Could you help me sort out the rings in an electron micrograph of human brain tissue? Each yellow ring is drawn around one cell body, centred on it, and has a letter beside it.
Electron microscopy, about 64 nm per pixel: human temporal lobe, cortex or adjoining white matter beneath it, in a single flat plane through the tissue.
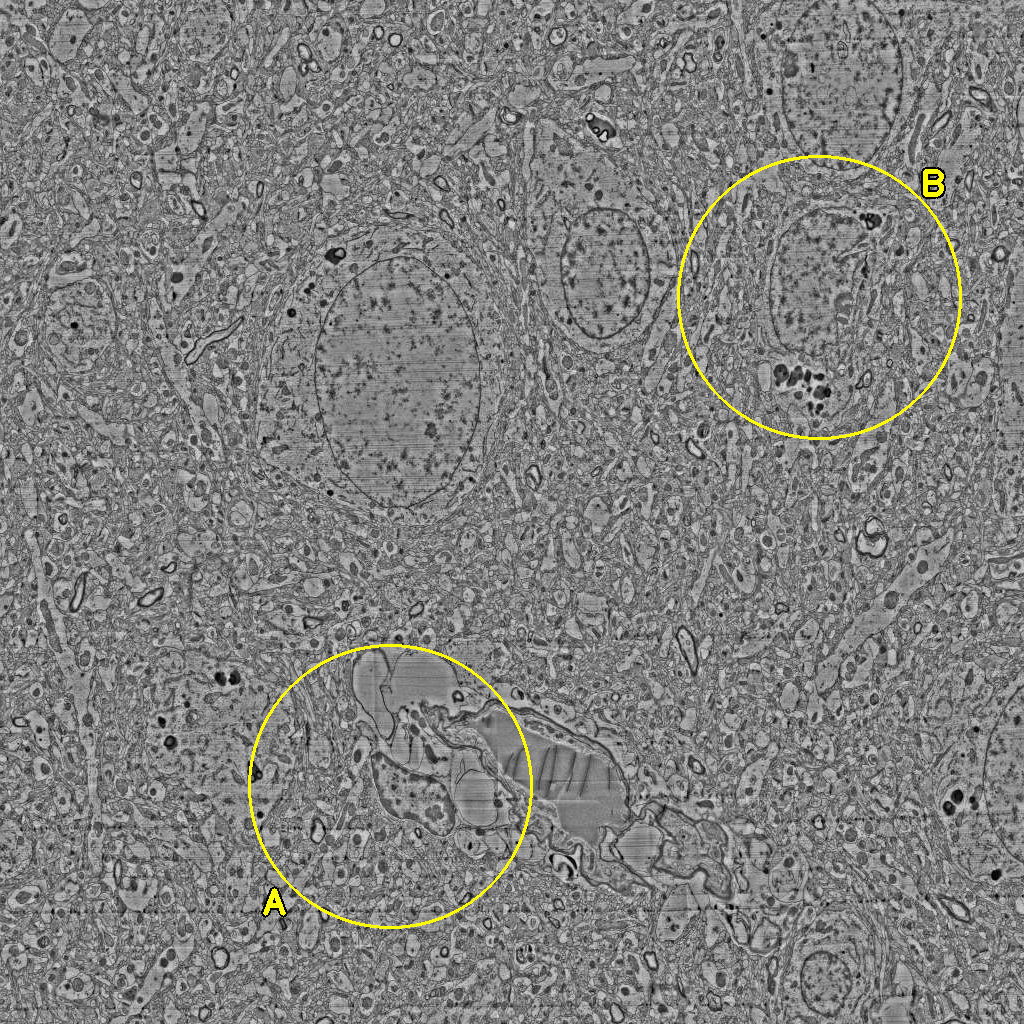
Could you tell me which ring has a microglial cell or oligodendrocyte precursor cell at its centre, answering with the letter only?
A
